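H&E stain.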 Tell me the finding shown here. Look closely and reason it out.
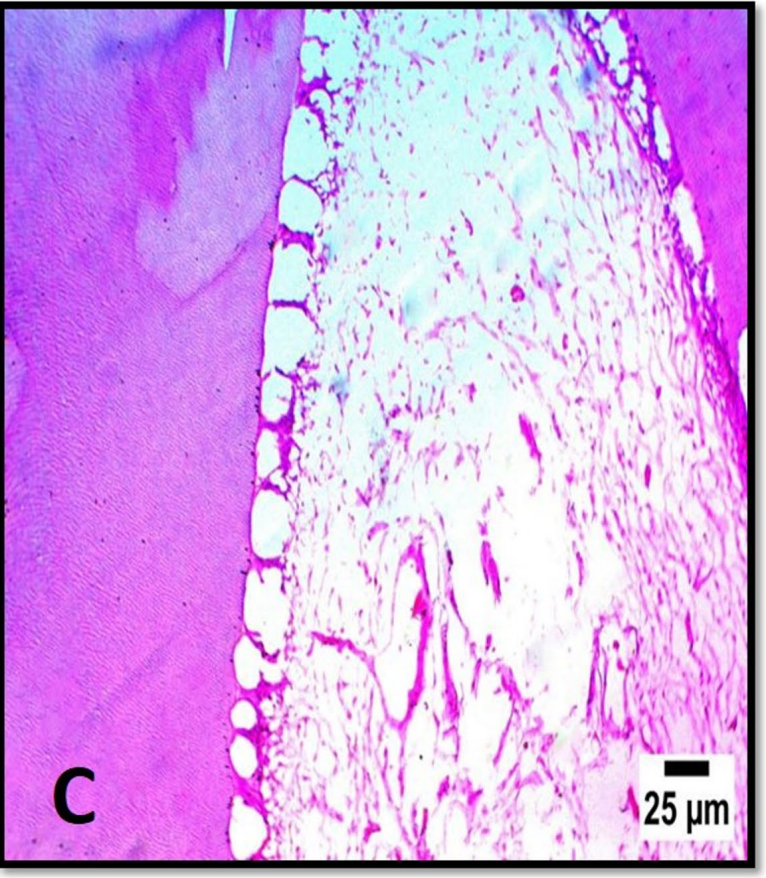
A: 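The soft tissue between the pink hard walls is loose, with sparse wavy pink fibres and few nuclei. Large empty vacuole-like spaces line the border with the hard tissue. The answer: disorganized pulp tissue.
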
